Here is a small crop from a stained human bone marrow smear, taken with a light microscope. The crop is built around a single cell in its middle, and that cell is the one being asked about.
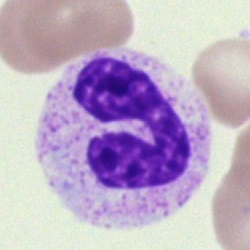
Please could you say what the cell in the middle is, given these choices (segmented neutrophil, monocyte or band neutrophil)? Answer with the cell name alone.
band neutrophil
